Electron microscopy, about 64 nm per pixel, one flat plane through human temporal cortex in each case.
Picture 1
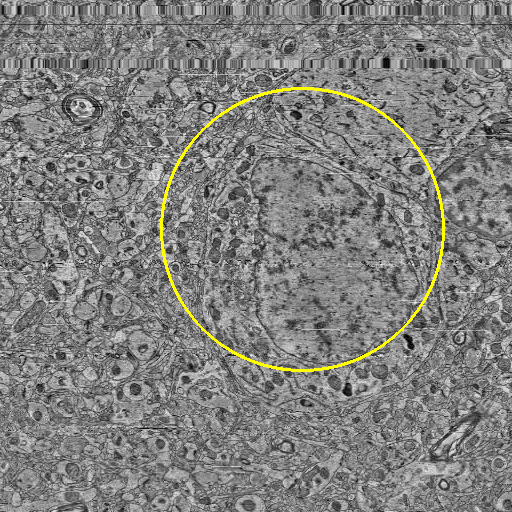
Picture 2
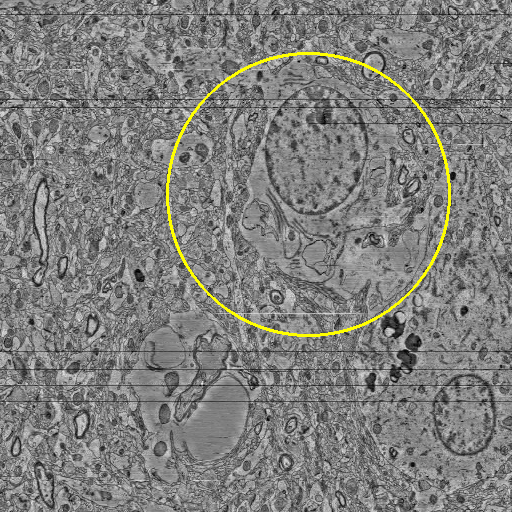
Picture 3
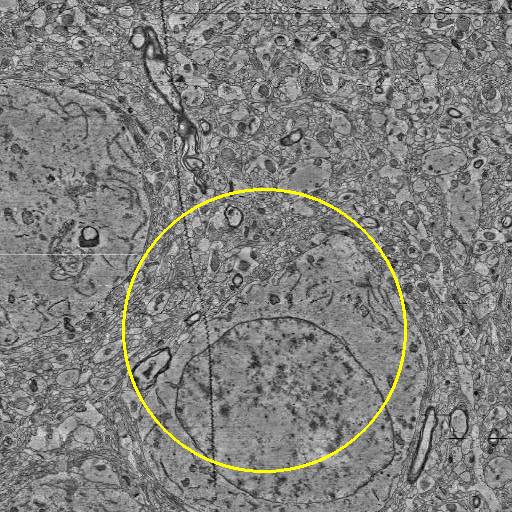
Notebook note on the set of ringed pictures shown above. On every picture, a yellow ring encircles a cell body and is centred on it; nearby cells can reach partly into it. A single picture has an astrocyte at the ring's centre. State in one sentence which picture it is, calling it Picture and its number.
Picture 2 is the one whose ring is centred on the sought cell.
